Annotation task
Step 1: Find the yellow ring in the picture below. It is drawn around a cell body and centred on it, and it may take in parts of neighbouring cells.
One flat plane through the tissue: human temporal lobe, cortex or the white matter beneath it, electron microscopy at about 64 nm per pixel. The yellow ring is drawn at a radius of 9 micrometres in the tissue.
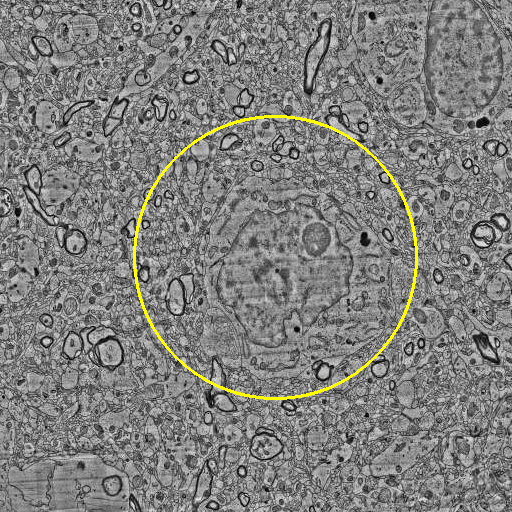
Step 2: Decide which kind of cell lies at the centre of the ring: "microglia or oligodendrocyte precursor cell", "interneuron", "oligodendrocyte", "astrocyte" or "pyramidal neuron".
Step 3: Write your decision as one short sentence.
The kind of cell at the ring's centre is an interneuron.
